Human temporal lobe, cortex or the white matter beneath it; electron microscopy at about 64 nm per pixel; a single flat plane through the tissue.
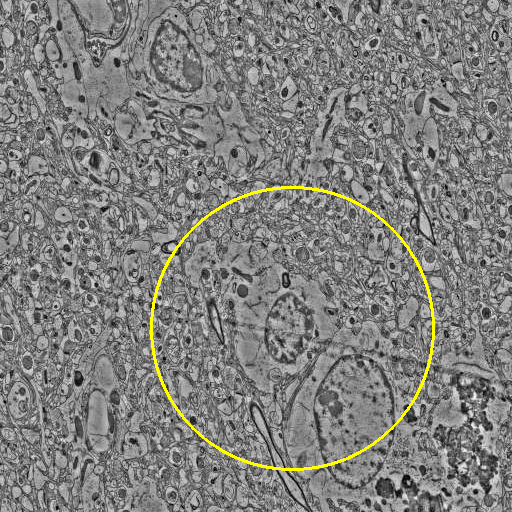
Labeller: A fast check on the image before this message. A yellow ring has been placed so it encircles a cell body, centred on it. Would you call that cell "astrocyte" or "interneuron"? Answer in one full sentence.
In this image, an astrocyte is the cell on which the yellow ring is centred.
